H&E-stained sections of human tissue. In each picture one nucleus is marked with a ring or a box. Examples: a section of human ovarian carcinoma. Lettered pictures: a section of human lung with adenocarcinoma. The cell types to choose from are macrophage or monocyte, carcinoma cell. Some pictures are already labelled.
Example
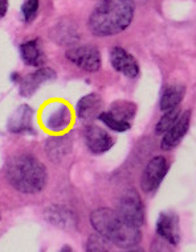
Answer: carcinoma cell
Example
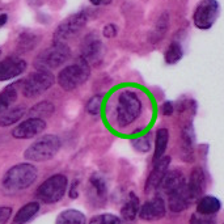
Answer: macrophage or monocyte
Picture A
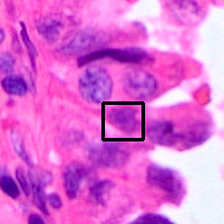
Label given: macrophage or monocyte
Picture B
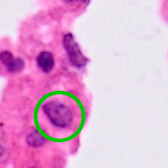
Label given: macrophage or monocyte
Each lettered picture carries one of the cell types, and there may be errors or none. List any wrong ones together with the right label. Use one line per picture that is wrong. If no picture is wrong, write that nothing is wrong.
A: not macrophage or monocyte but carcinoma cell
